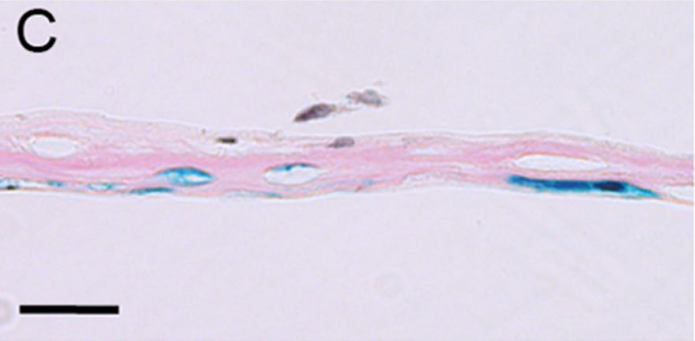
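A long thin layer of pink-staining matrix runs across the field, with several blue-stained osteocytes enclosed in oval spaces within it, mostly near its lower side. Other oval spaces appear empty, and a few cells with purplish nuclei sit on or near the upper surface without blue stain.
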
